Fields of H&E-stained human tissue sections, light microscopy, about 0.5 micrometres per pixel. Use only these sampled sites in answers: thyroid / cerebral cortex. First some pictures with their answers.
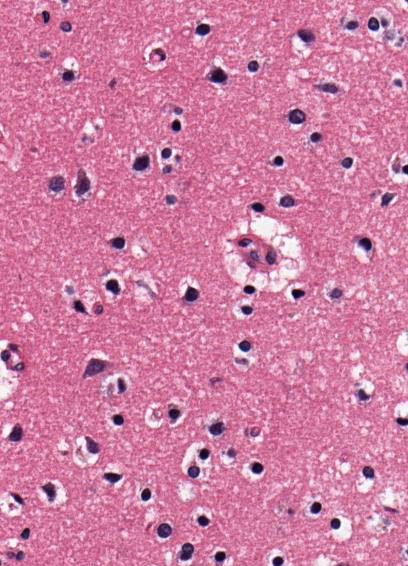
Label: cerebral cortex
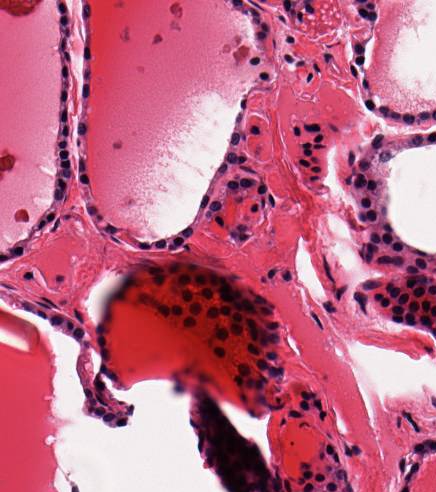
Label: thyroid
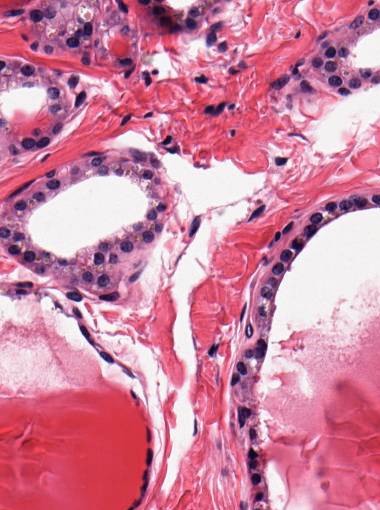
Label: thyroid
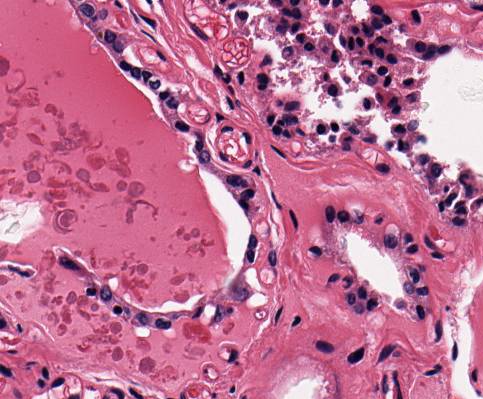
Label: thyroid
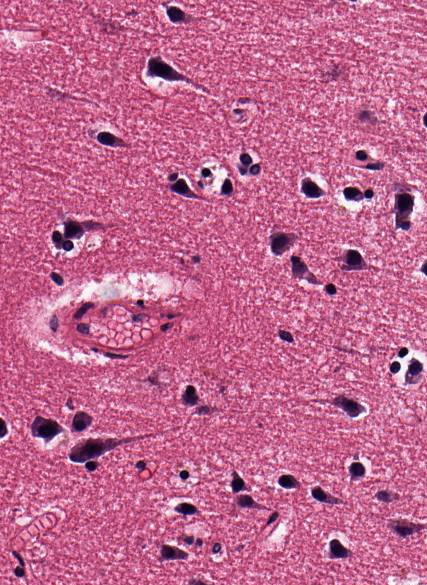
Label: cerebral cortex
